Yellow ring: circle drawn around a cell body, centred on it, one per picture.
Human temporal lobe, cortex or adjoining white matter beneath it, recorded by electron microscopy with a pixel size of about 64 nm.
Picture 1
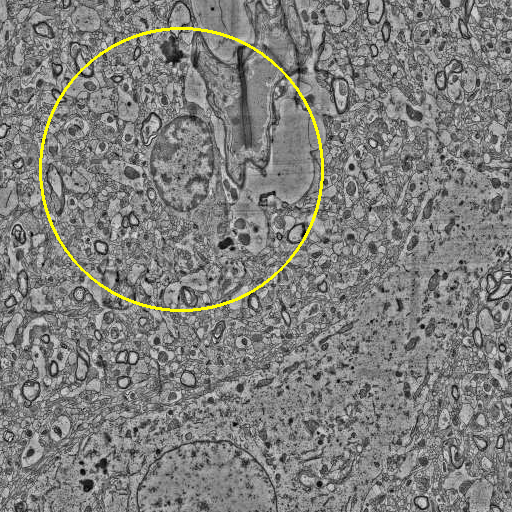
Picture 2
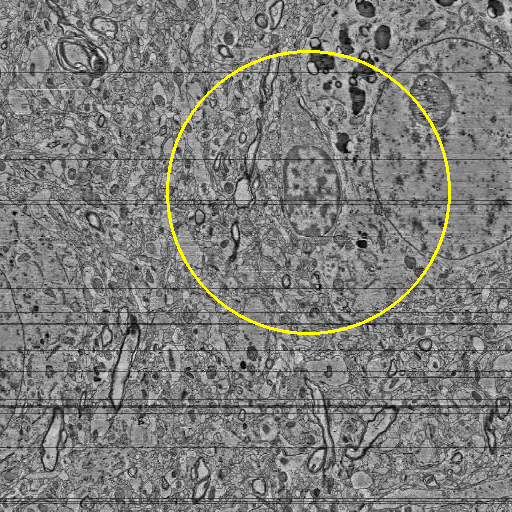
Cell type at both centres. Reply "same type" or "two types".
same type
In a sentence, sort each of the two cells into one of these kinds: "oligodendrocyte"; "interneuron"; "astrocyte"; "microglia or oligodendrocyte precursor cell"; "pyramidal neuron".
In both pictures the ring is centred on an oligodendrocyte.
